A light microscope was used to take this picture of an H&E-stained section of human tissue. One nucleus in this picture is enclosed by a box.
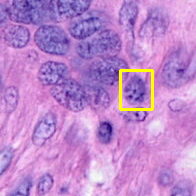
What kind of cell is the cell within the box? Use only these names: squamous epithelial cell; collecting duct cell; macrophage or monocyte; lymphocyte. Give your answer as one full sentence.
In this tissue sample, the cell within the box is a macrophage or monocyte.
